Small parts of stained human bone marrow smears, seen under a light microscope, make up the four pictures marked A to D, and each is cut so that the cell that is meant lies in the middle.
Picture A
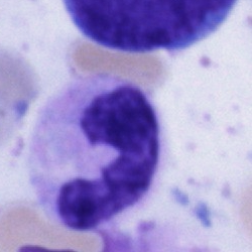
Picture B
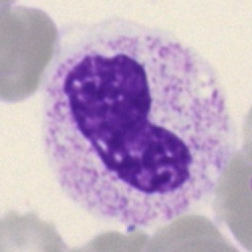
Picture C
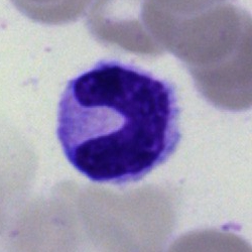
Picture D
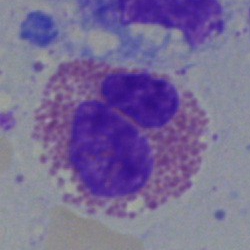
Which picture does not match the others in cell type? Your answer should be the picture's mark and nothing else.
D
